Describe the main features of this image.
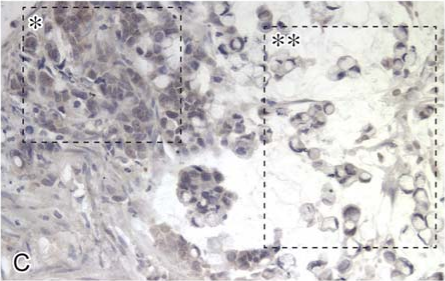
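Poorly differentiated carcinoma with a mucinous, signet-ring pattern. On one side a crowded cluster of tumor cells with central nuclei and faint brownish cytoplasm lies against fibrous stroma. Elsewhere, single round cells float in pale, clear mucin; many have a clear cytoplasmic vacuole pushing a crescent-shaped nucleus to the edge, and these are largely unstained. A small rounded cluster of cells lies in a clear space near the centre.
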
